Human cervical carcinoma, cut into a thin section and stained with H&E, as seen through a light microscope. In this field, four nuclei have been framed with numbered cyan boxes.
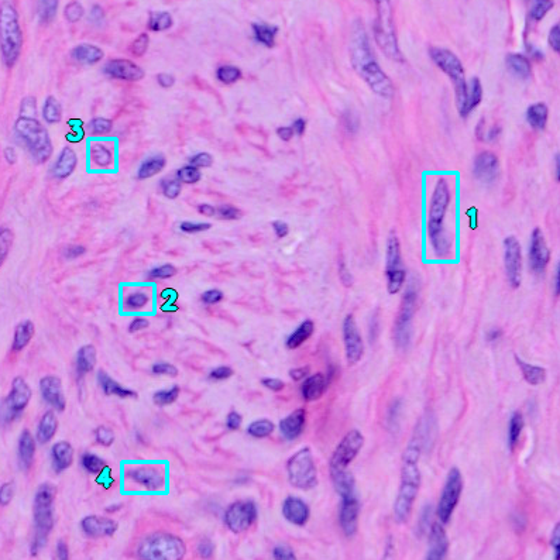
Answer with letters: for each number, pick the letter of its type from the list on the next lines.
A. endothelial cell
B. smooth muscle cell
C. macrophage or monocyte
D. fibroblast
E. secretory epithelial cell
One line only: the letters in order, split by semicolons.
D; B; B; B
